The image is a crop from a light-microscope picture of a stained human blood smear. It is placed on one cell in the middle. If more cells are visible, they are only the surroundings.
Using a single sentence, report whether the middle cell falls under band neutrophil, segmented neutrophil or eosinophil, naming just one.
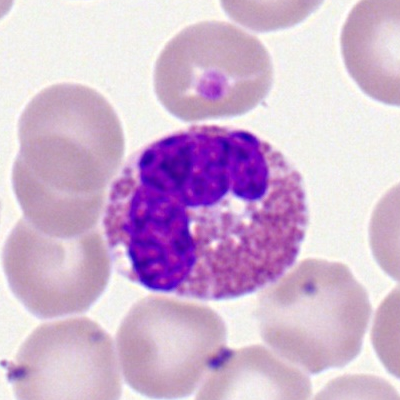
In the center of this field lies an eosinophil.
